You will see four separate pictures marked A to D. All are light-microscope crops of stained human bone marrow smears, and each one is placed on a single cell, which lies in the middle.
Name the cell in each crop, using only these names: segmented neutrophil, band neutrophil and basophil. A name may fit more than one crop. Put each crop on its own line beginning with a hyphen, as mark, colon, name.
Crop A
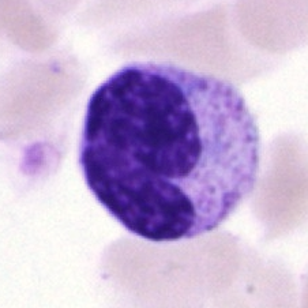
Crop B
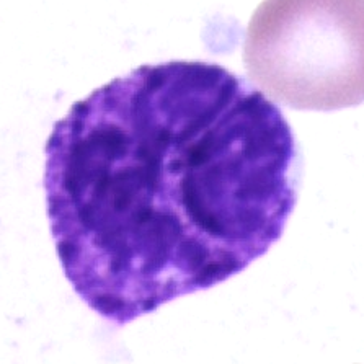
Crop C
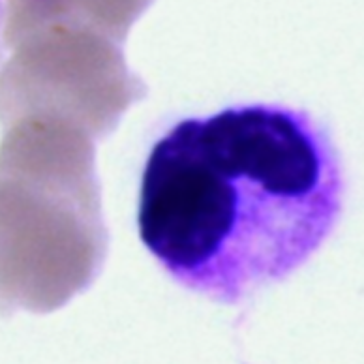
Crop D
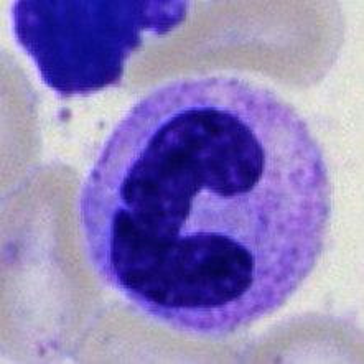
- A: band neutrophil
- B: basophil
- C: segmented neutrophil
- D: band neutrophil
